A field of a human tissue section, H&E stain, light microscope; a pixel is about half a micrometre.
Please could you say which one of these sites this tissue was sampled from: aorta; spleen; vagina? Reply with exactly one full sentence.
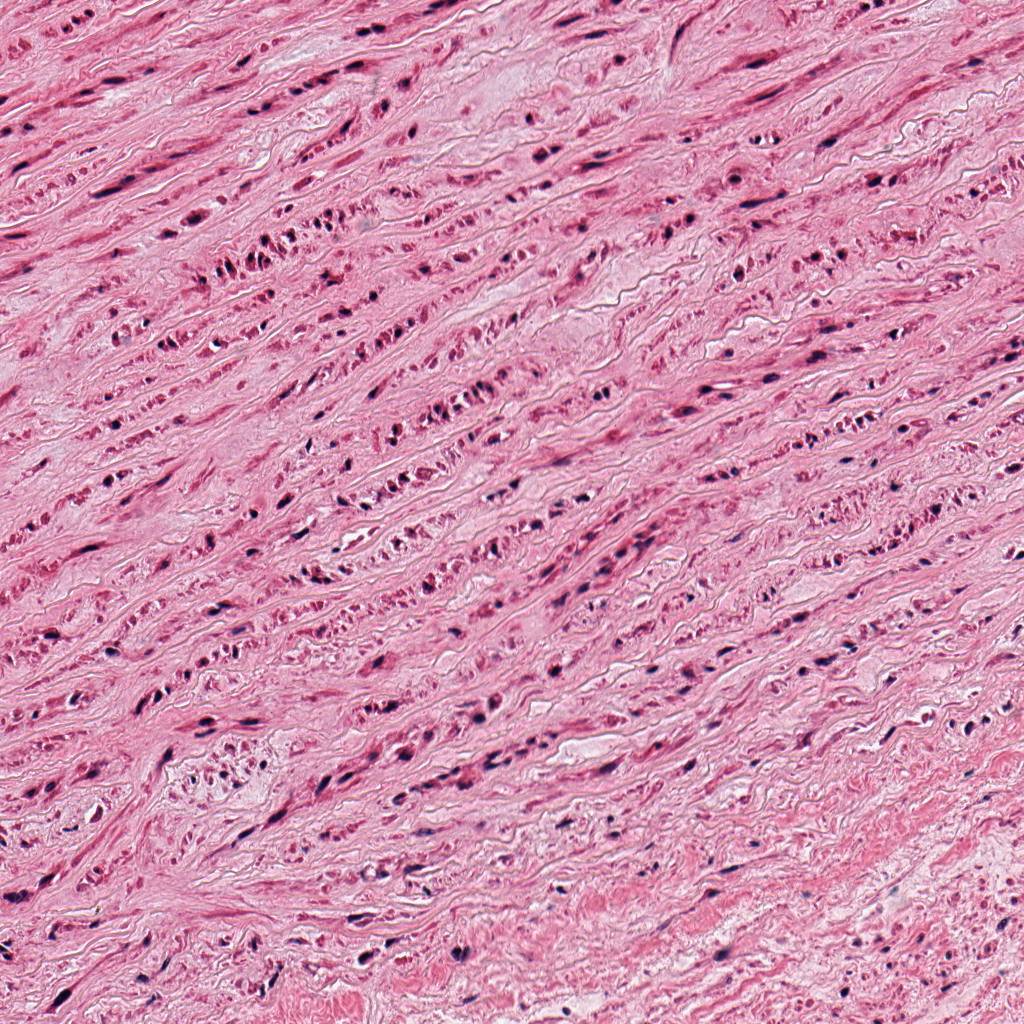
Taken from the aorta, this tissue forms the section.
